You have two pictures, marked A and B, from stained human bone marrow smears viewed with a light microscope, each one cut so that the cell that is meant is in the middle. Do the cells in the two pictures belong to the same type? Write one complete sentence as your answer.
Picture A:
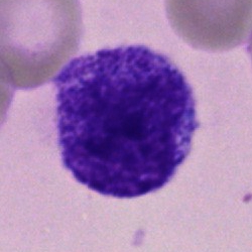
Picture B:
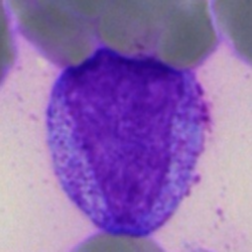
Yes, both cells are myelocytes.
